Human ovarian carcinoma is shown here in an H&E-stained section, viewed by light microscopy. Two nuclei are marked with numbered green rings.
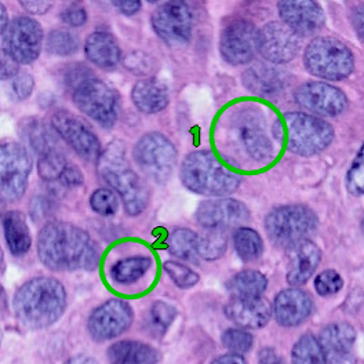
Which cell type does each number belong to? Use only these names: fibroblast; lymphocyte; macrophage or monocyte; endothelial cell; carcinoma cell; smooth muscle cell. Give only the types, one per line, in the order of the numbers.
carcinoma cell
macrophage or monocyte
